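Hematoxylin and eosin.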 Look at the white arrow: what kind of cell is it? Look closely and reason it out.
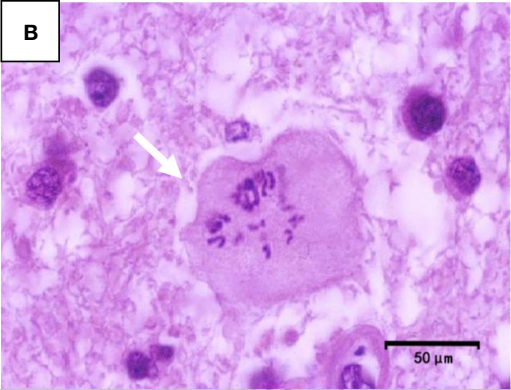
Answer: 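Creutzfeldt-Peters cells. The marked cell is far larger than the cells around it. It has abundant pale pink homogeneous cytoplasm. Its nuclear material lies as several small dark separate fragments.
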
